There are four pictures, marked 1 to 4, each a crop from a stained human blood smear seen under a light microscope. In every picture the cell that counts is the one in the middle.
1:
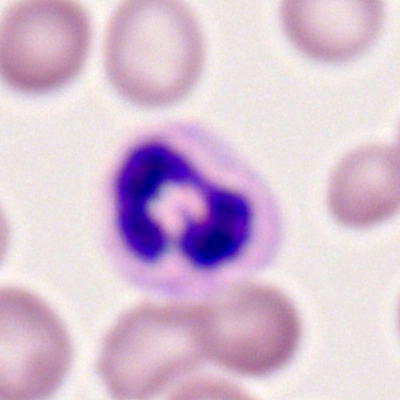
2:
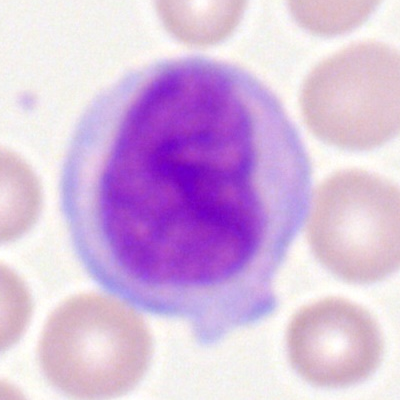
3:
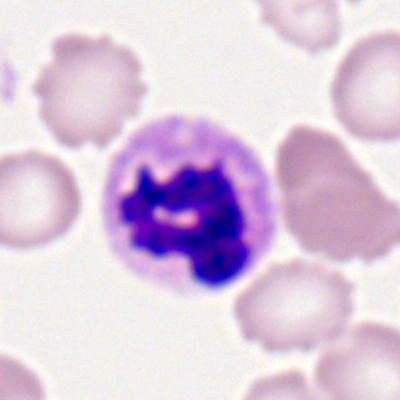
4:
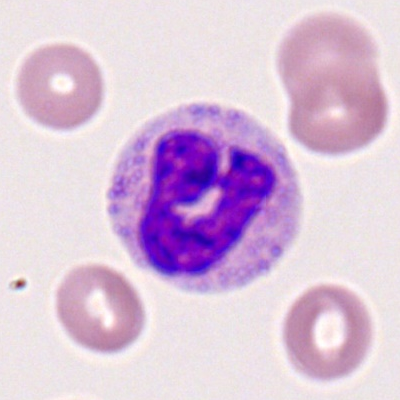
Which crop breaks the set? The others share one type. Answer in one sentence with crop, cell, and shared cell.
The pattern of segmented neutrophils across the crops is broken only by crop 2, which shows a monocyte.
